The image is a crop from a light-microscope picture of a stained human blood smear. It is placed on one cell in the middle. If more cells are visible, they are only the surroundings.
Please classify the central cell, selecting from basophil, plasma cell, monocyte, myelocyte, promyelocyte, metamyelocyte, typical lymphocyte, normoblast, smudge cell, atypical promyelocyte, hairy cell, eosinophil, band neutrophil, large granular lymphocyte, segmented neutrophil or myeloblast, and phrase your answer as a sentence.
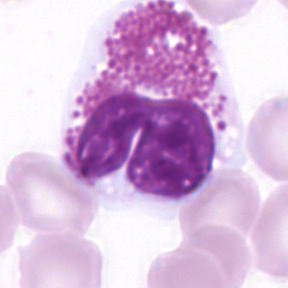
In the middle of this smear crop is an eosinophil.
